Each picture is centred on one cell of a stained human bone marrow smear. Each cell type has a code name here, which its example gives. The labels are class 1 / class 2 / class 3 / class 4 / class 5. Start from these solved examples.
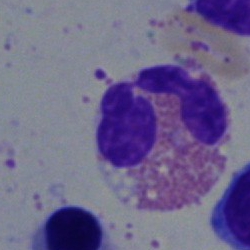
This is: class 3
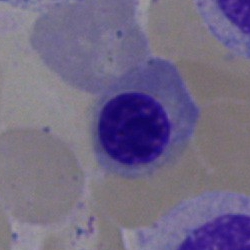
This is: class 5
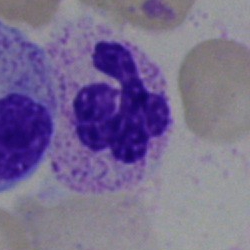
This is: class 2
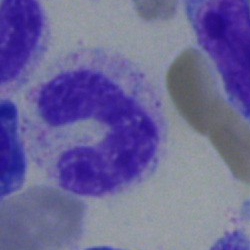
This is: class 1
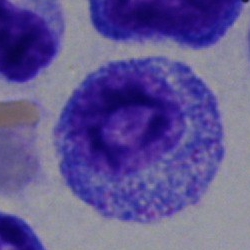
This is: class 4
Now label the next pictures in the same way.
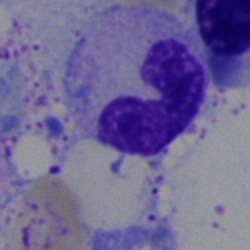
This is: class 2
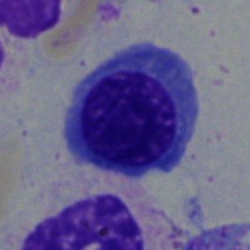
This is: class 5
